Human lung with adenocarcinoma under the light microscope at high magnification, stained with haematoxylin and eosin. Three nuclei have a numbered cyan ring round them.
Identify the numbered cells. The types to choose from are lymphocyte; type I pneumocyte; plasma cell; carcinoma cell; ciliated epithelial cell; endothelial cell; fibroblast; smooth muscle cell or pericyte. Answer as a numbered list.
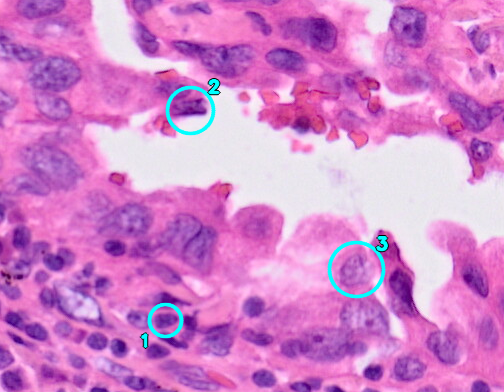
1. lymphocyte
2. carcinoma cell
3. carcinoma cell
